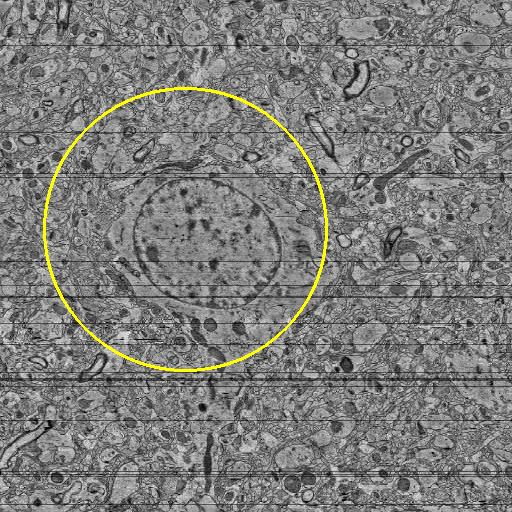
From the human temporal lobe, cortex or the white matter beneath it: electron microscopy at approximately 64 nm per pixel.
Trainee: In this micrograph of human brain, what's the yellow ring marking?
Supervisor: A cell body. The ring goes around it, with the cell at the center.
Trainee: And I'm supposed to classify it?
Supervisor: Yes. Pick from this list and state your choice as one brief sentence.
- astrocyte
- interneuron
The cell at the ring's center is an astrocyte.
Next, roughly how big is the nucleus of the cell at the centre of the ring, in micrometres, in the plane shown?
In this plane, roughly 9 micrometres across.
